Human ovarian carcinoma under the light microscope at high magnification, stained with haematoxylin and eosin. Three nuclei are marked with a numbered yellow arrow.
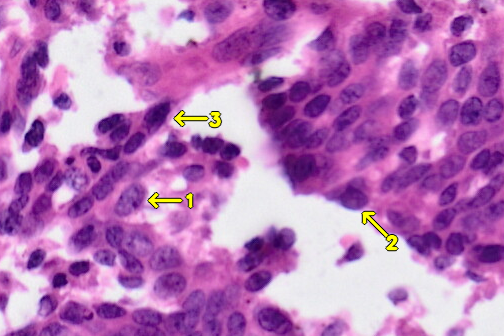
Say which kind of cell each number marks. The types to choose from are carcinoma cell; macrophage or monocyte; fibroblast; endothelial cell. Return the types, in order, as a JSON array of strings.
["macrophage or monocyte", "carcinoma cell", "carcinoma cell"]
